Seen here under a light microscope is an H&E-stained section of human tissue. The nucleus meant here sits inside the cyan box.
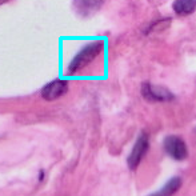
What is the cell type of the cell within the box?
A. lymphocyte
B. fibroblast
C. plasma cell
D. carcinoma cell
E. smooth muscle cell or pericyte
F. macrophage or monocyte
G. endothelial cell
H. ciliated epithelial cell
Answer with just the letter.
G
